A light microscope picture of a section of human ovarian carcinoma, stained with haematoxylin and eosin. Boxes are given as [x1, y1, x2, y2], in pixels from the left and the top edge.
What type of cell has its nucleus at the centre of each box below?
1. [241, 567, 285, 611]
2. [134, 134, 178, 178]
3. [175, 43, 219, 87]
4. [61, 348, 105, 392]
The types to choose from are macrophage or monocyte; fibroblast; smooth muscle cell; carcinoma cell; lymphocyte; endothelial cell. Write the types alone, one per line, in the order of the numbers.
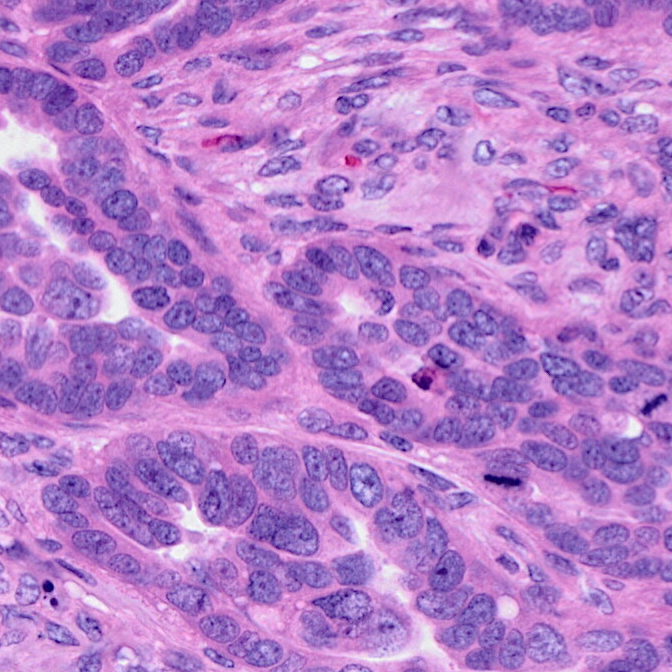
carcinoma cell
fibroblast
fibroblast
carcinoma cell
